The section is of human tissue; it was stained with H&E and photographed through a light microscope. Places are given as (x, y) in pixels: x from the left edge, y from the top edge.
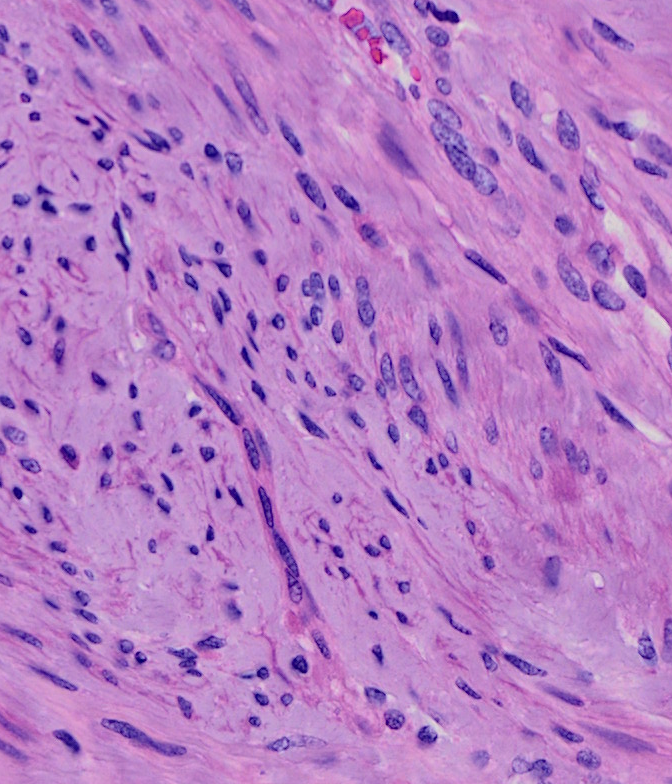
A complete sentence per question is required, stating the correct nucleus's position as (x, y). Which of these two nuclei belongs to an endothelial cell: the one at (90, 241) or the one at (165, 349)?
The nucleus found at (165, 349) belongs to an endothelial cell.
